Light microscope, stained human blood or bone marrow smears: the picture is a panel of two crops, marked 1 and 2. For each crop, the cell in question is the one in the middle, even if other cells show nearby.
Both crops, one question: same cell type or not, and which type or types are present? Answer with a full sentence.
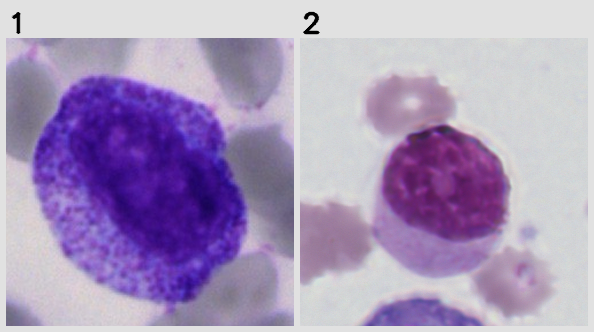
No, sorry, crop 1 shows a promyelocyte and crop 2 shows a plasma cell.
